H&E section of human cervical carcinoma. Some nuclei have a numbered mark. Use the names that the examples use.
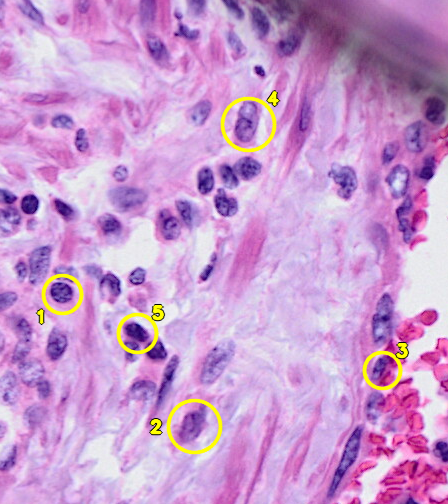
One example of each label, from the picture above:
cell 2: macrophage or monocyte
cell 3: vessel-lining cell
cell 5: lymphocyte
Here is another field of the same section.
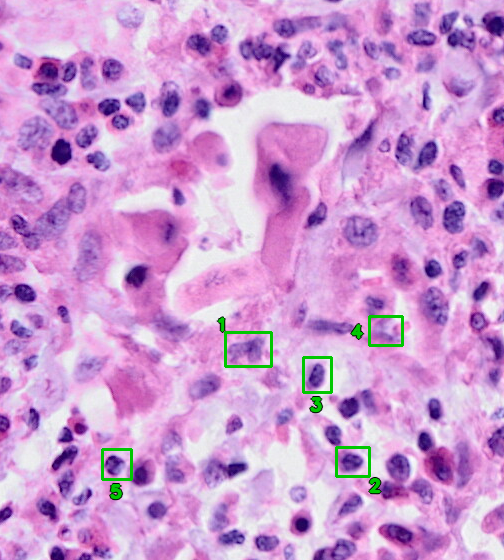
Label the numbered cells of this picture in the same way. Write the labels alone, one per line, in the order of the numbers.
macrophage or monocyte
lymphocyte
lymphocyte
vessel-lining cell
lymphocyte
